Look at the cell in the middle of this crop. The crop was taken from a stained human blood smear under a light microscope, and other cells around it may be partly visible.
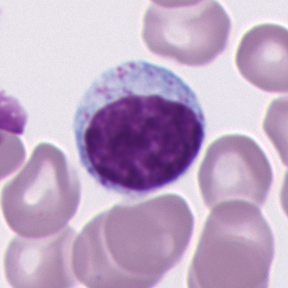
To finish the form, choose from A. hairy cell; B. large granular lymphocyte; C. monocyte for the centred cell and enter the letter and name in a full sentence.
In this crop the middle cell is a large granular lymphocyte, so option B is the correct answer.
